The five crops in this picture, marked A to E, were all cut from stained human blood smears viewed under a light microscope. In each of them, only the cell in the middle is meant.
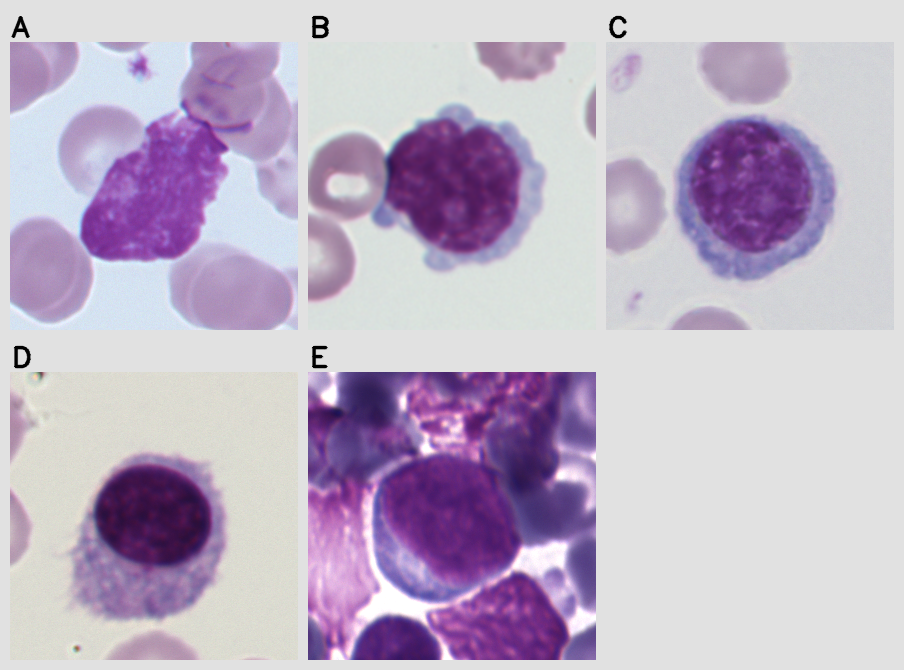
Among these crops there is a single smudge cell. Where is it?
A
